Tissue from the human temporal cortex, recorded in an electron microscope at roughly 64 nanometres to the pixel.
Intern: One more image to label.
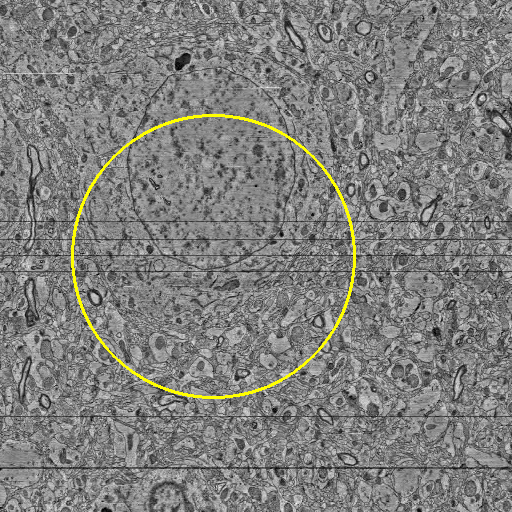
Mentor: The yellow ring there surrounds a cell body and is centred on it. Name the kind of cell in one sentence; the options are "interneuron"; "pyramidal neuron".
The ring marks the cell body of a pyramidal neuron.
